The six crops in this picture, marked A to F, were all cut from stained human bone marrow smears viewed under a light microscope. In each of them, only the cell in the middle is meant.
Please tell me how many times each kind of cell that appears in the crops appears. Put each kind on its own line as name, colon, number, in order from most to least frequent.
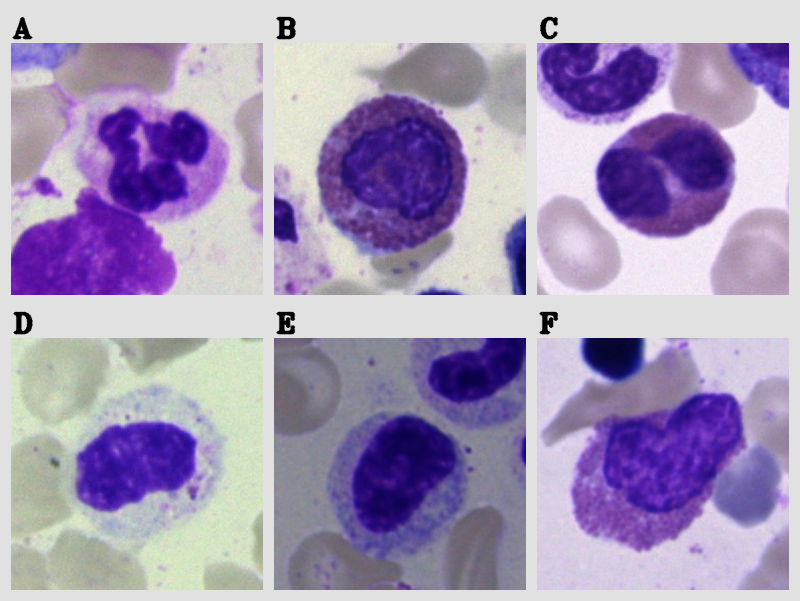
eosinophil: 3
metamyelocyte: 2
segmented neutrophil: 1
